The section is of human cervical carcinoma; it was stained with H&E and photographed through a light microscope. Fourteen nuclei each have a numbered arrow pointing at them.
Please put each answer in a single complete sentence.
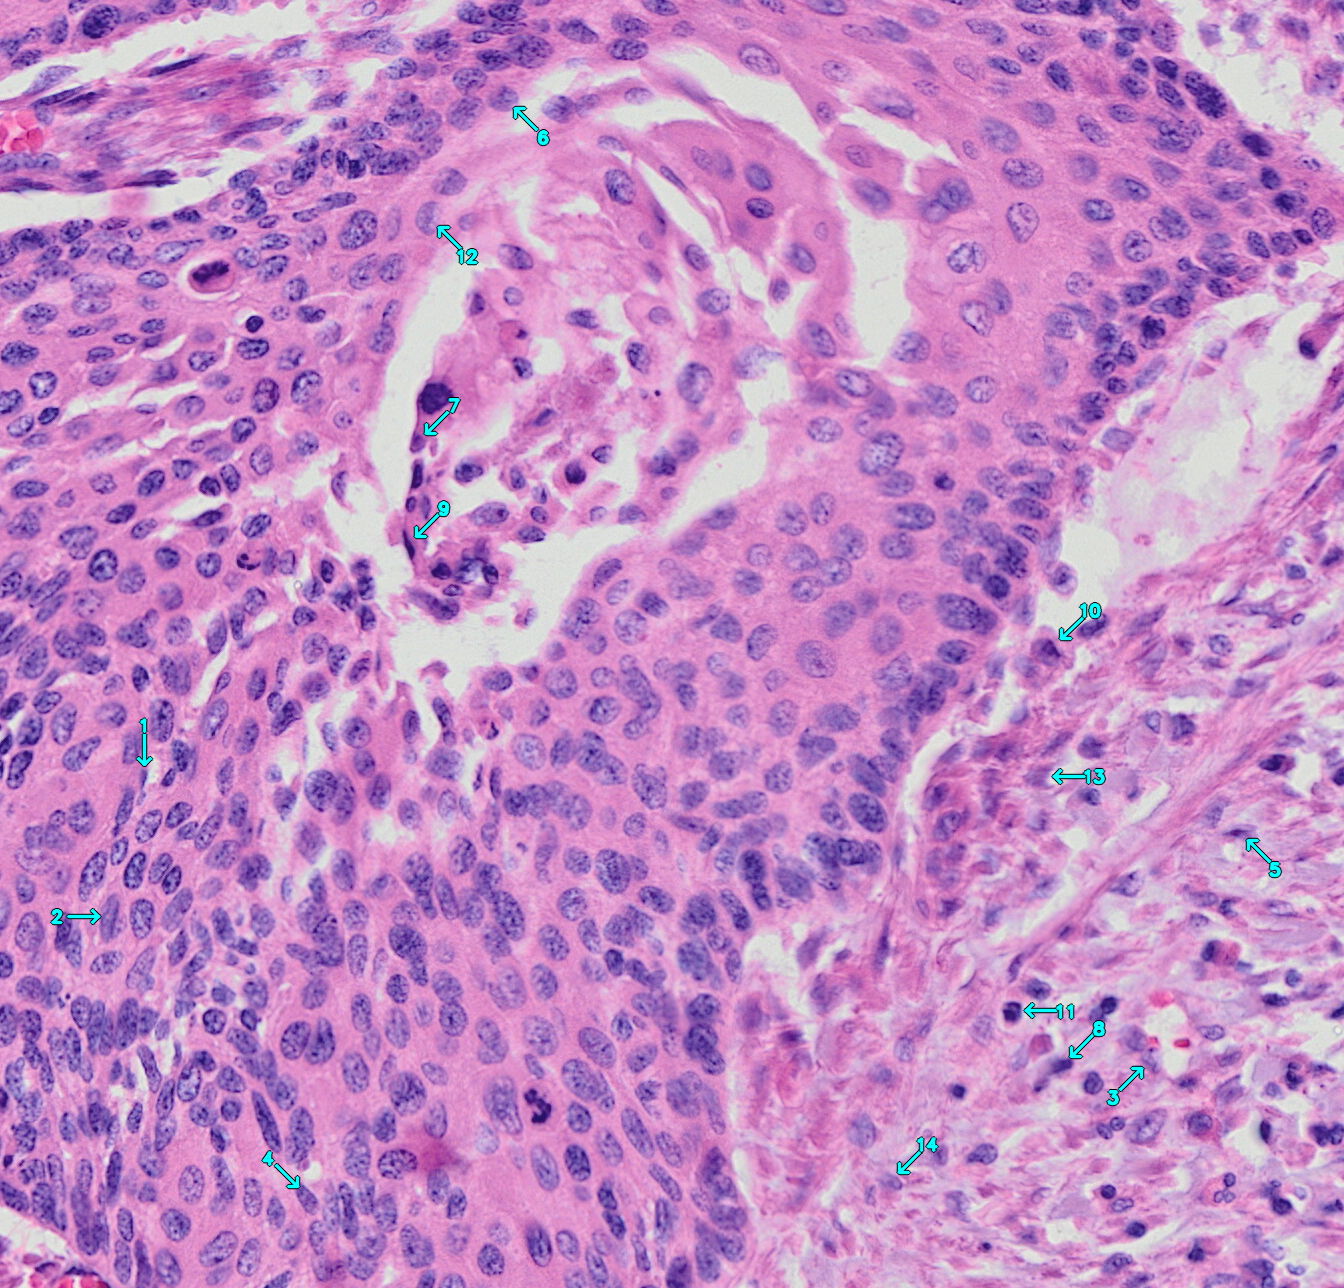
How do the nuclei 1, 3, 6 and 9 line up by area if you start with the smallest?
By area, going up from the smallest, they rank 1, 9, 3, 6.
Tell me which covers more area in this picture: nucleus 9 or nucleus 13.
Nucleus 13 is the larger one, covering about 2.5 times the area of nucleus 9.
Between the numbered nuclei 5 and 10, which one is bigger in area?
It is nucleus 10, which covers about 2 times the area of nucleus 5.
